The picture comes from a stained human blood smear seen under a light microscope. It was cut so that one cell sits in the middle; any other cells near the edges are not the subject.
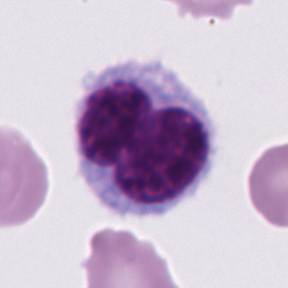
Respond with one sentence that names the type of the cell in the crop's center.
In this crop, the cell at the very middle is a hairy cell.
